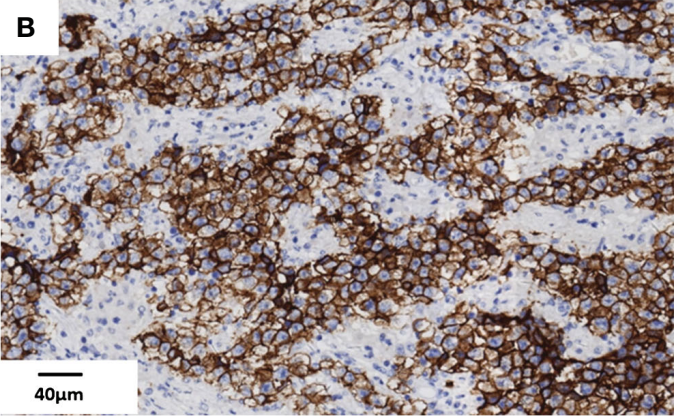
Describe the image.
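Nests and cords of large polygonal tumor cells are outlined by brown staining along their cell membranes, giving a chicken-wire pattern. Their nuclei are round, central and blue, with pale cytoplasm. The nests are separated by bands of pale, unstained stroma containing smaller blue nuclei.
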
